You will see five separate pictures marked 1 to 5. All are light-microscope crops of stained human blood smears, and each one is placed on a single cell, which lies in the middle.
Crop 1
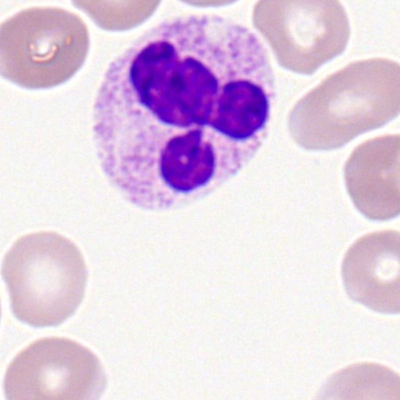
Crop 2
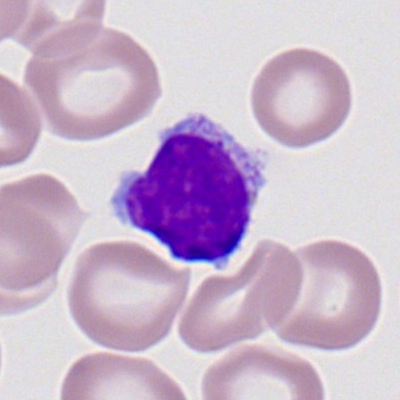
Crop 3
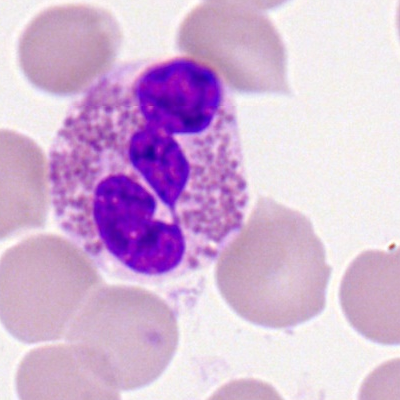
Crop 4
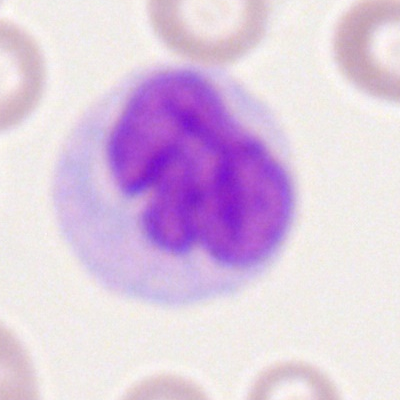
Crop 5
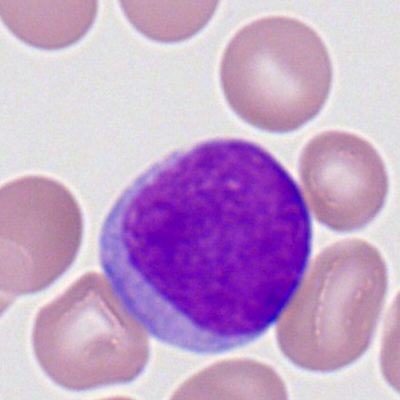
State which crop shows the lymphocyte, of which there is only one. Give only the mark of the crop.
2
